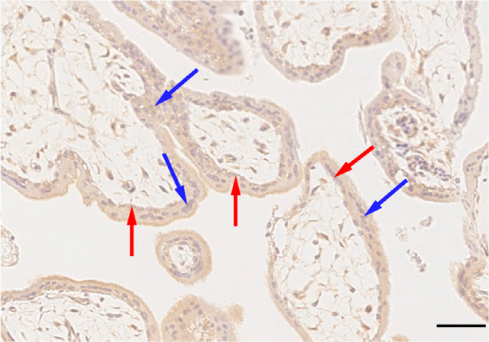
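The outer layer is a smooth, even band without cell borders. Beneath it lie small, regularly spaced cells with round nuclei. The brown stain is faint to moderate and lies mostly in this covering layer. The core is much paler. The villi lie separately in empty intervillous space.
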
